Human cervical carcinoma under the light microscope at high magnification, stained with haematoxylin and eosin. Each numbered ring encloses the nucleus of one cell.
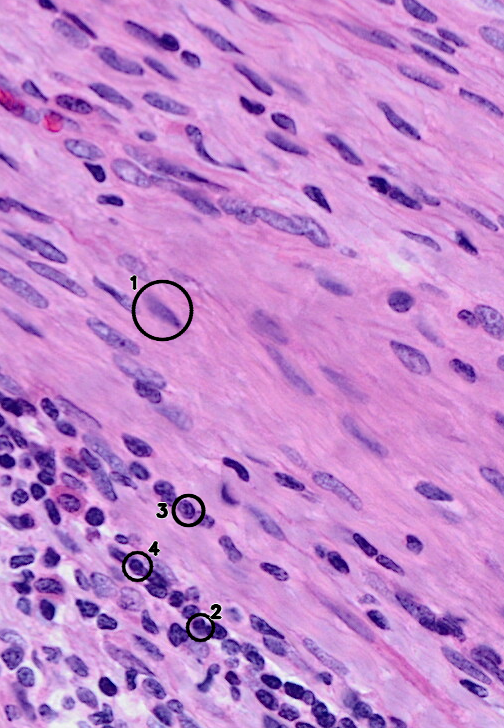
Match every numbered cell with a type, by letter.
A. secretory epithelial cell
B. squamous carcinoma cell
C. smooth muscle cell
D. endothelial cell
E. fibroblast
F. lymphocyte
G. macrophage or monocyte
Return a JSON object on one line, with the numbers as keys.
{"1": "E", "2": "F", "3": "F", "4": "F"}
